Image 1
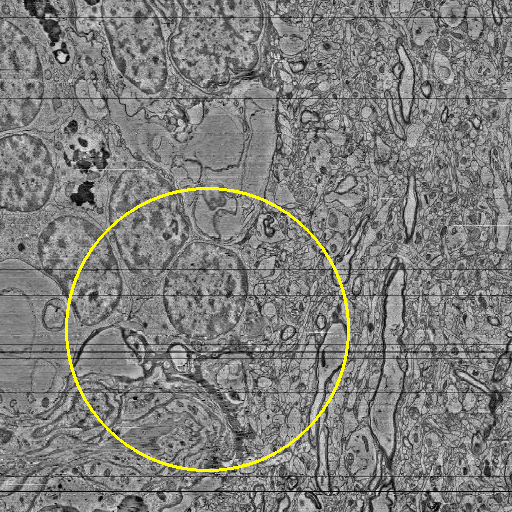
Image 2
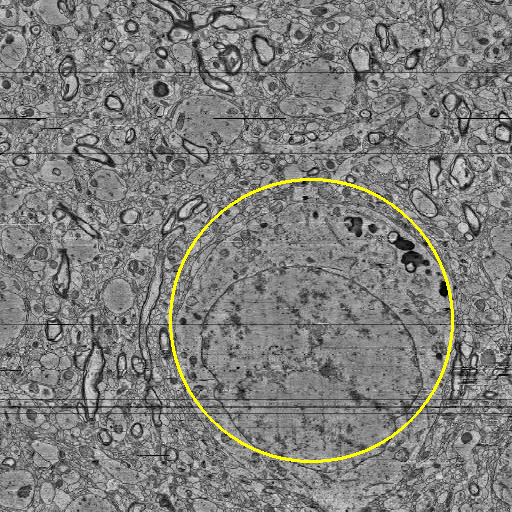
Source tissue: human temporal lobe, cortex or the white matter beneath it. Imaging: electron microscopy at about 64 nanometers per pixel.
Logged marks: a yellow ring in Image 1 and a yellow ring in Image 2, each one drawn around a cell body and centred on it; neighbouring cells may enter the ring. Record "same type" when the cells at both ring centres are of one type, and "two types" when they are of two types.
two types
